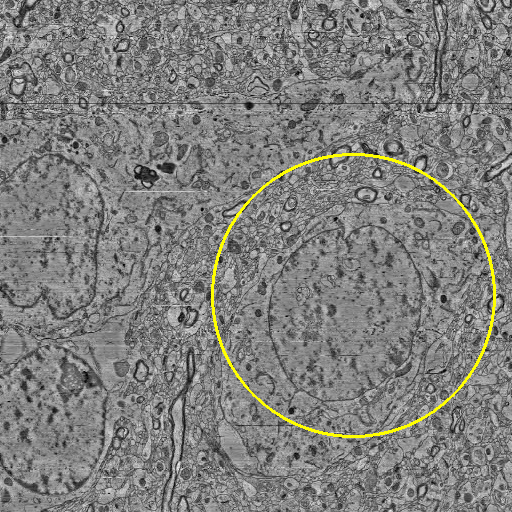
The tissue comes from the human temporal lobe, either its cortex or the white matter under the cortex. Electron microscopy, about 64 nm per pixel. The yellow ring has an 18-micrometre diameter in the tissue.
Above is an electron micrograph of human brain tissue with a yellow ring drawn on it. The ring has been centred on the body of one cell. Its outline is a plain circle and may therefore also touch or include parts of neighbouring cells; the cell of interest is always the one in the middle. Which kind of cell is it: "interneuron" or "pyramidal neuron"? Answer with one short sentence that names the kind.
The ring's central cell body is that of a pyramidal neuron.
